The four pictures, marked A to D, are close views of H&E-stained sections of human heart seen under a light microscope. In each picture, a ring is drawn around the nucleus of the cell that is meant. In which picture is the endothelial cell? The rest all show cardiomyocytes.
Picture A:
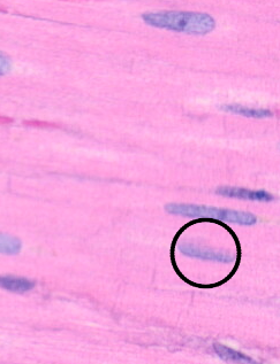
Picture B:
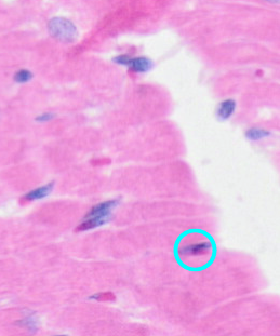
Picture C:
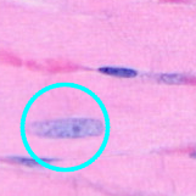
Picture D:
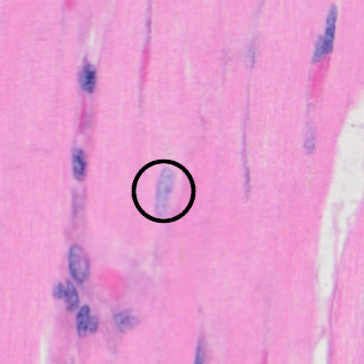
B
